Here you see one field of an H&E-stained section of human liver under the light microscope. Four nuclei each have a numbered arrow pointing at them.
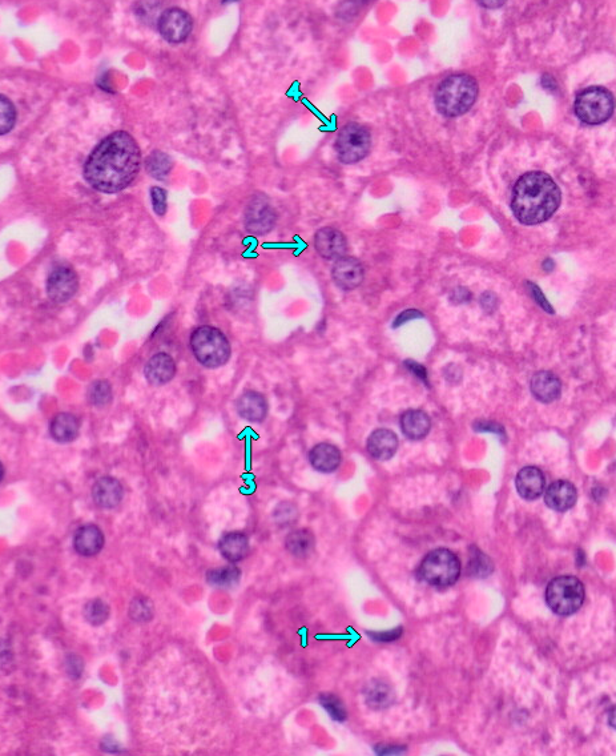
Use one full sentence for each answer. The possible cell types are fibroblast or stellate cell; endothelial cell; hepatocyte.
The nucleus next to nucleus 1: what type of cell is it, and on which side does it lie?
It is a hepatocyte, whose nucleus lies below nucleus 1.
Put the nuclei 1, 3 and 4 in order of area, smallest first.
From smallest to largest, the order is 1, 3, 4.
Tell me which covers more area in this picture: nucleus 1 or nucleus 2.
It is nucleus 2, which covers about 2 times the area of nucleus 1.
